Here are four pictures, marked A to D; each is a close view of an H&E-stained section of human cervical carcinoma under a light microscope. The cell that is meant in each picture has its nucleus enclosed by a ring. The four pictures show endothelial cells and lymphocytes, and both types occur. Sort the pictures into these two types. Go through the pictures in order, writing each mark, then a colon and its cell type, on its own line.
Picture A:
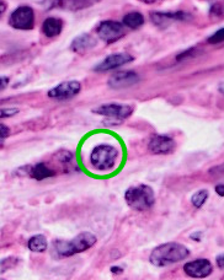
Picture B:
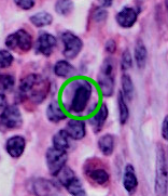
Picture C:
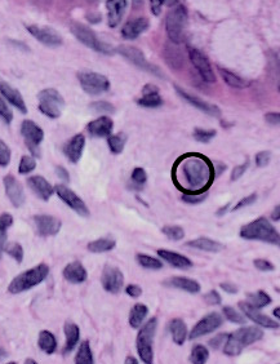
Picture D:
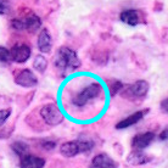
A: lymphocyte
B: lymphocyte
C: endothelial cell
D: lymphocyte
